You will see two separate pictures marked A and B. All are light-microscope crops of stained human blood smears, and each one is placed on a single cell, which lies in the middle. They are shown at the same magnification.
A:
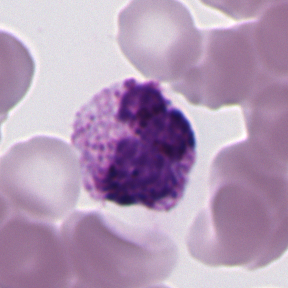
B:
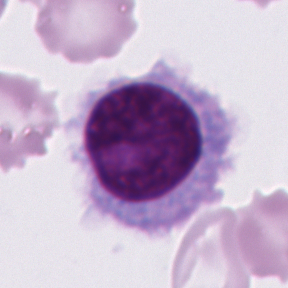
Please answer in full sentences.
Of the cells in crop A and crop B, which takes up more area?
It is the cell in crop B, about 1.5 times as large in area as the cell in crop A.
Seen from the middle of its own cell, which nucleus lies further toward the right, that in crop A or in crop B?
The nucleus in crop A lies further toward the right of its cell.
